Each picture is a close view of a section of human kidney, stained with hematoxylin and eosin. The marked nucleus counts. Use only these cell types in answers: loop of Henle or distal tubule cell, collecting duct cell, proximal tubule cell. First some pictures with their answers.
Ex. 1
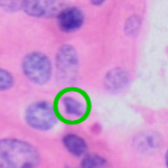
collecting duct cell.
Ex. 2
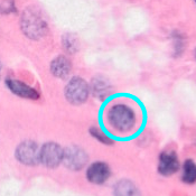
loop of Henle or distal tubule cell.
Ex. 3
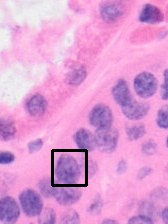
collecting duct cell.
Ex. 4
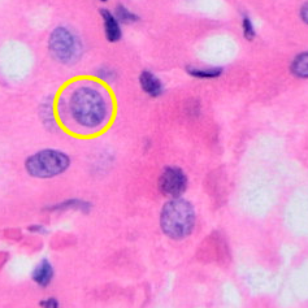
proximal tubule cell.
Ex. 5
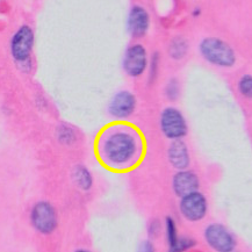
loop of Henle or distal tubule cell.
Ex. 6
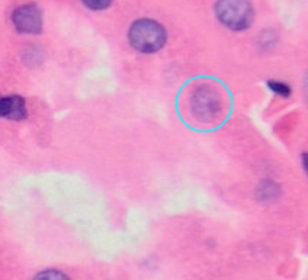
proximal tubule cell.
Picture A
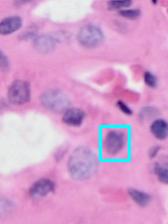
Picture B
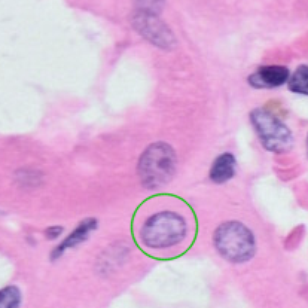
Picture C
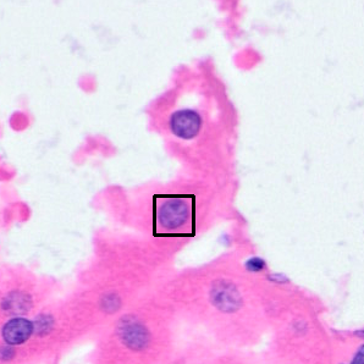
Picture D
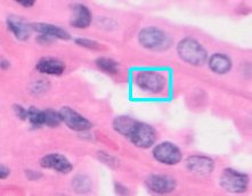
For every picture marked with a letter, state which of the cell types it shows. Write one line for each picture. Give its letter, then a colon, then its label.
A: loop of Henle or distal tubule cell.
B: proximal tubule cell.
C: proximal tubule cell.
D: loop of Henle or distal tubule cell.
